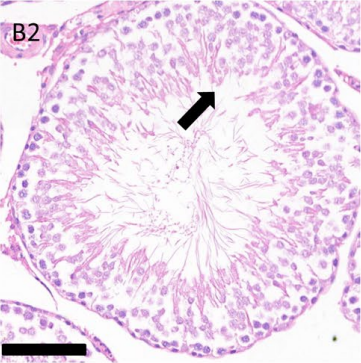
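This is a cross-section of a seminiferous tubule of the testis with its lining of spermatogenic cells. The tubule is round and bounded by a thin pink basement membrane with flattened cells outside it. The wall consists of several orderly layers of cells with round purple nuclei, basal cells lying against the membrane and larger rounded cells above them. Toward the centre, elongated cells with pink tails radiate into the lumen in a regular pattern. Surrounding tubules and thin interstitium lie at the edges of the field.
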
